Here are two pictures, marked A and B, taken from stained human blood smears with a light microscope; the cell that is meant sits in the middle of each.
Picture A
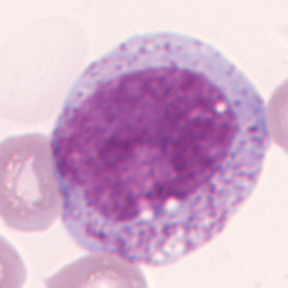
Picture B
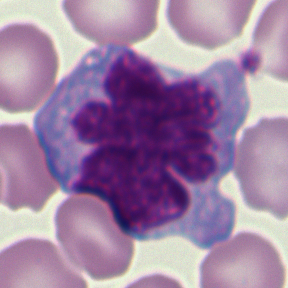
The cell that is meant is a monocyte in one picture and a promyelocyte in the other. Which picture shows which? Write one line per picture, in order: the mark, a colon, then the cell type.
A: promyelocyte
B: monocyte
